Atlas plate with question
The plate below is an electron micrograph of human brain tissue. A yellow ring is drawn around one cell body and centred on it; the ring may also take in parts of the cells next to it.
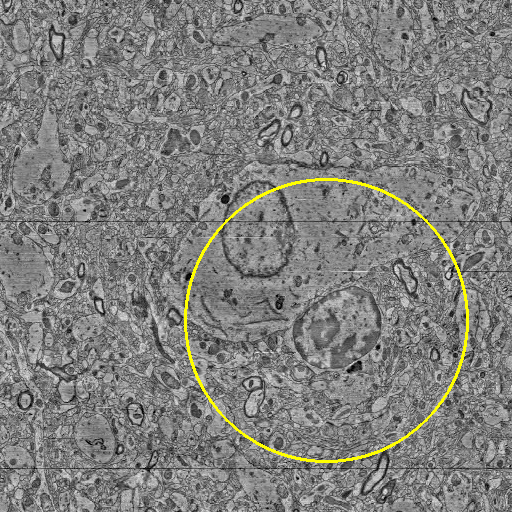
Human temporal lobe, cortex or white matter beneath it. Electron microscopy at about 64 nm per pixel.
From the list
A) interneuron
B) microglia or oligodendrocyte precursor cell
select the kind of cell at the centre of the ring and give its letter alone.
B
